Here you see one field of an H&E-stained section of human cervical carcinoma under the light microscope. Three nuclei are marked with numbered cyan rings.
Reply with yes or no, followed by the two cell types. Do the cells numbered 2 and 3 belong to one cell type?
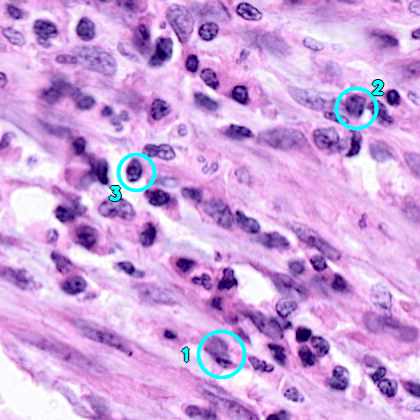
Yes, cell number 2 and cell number 3 are both lymphocytes.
